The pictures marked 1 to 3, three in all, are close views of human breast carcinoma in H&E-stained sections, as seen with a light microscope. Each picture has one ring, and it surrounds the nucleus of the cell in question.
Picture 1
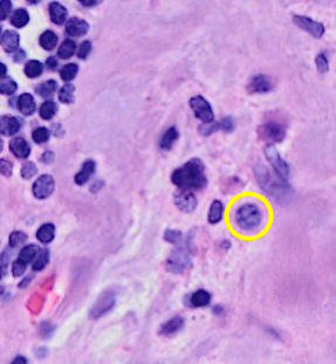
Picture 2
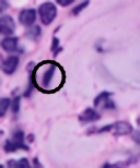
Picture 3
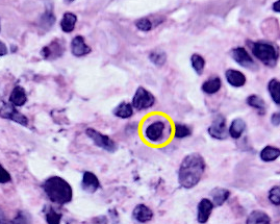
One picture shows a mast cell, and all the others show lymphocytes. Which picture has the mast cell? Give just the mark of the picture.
1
